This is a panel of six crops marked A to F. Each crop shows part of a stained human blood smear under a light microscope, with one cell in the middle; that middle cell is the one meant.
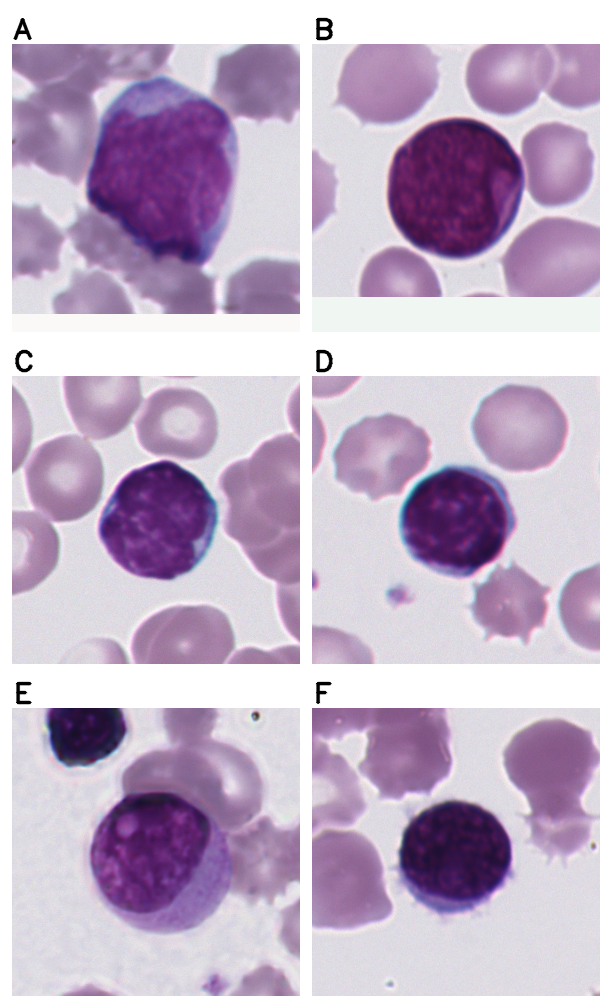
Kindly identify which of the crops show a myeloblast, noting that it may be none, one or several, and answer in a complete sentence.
Among the crops, A and B are those that show myeloblasts.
